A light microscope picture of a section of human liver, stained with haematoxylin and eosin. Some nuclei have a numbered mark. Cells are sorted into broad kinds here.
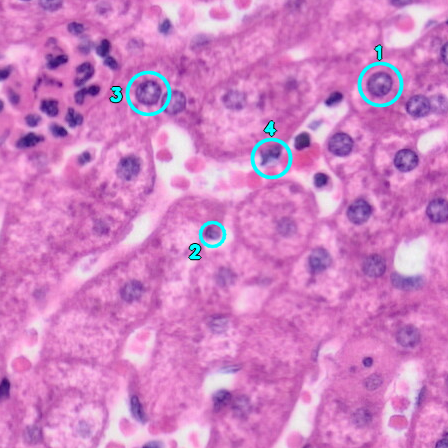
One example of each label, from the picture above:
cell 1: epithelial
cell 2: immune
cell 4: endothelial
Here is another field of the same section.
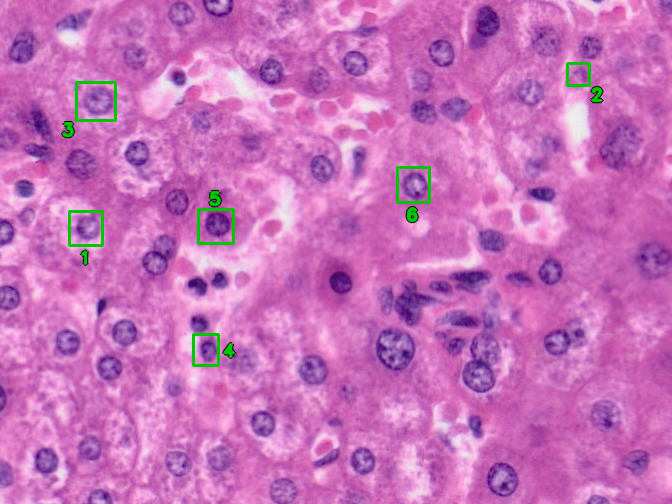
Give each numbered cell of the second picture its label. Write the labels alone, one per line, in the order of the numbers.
epithelial
immune
epithelial
immune
epithelial
epithelial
